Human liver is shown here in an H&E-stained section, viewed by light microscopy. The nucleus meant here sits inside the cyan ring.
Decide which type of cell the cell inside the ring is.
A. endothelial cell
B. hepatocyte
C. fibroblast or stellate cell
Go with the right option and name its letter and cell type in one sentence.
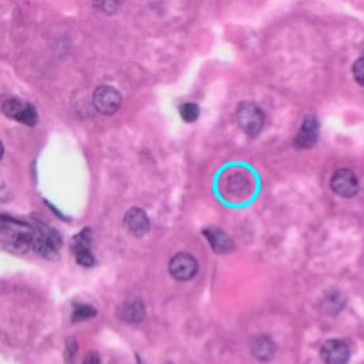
Here the correct option is B, since the cell inside the ring is a hepatocyte.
